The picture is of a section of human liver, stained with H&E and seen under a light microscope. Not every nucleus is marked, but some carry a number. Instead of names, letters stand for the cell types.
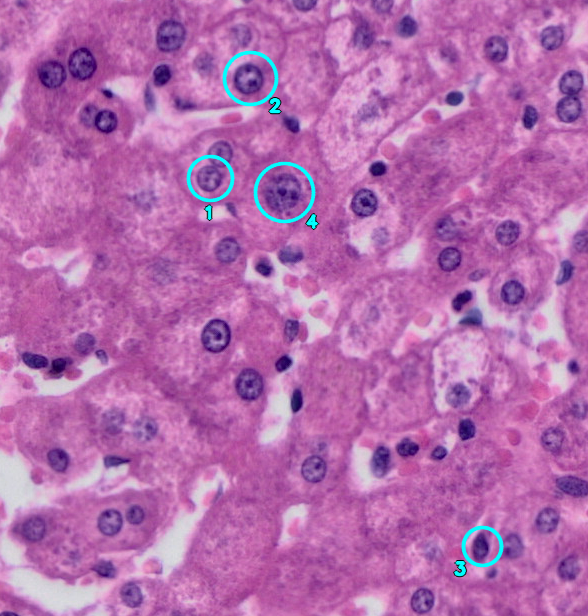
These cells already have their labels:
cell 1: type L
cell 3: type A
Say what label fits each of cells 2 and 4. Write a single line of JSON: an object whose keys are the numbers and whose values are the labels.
{"2": "type L", "4": "type L"}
